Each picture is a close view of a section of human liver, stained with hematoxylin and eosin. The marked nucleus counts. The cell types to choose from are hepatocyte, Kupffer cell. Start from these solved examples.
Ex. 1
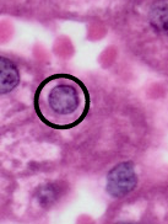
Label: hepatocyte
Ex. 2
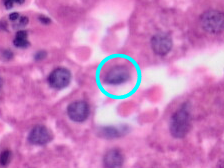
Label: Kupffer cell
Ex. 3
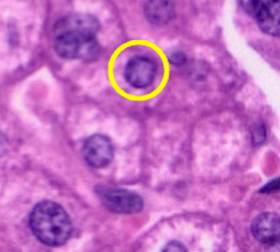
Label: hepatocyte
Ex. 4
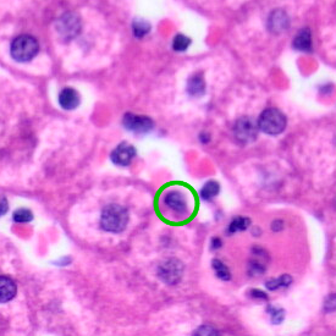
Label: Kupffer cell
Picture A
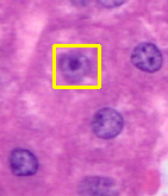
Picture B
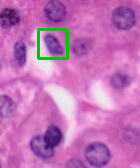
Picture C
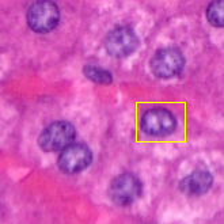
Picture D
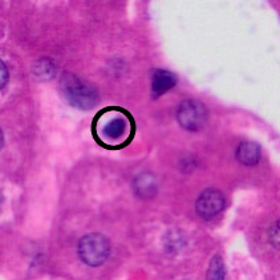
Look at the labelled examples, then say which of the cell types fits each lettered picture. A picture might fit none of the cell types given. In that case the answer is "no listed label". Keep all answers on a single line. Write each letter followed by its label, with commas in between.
A hepatocyte, B Kupffer cell, C hepatocyte, D no listed label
